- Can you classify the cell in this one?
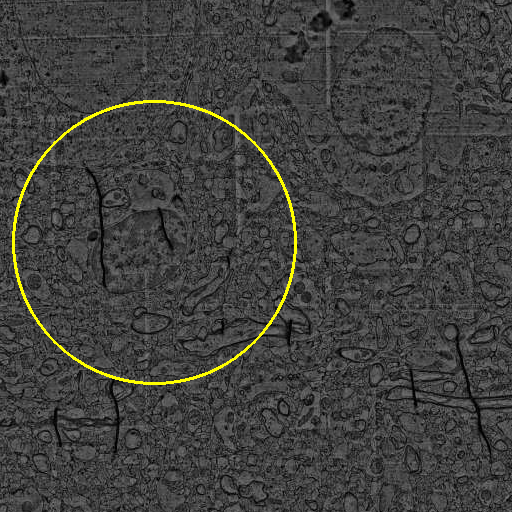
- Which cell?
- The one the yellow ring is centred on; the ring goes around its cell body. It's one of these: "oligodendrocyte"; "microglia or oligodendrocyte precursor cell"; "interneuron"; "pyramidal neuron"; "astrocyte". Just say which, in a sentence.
The cell body in the ring belongs to a microglial cell or oligodendrocyte precursor cell.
